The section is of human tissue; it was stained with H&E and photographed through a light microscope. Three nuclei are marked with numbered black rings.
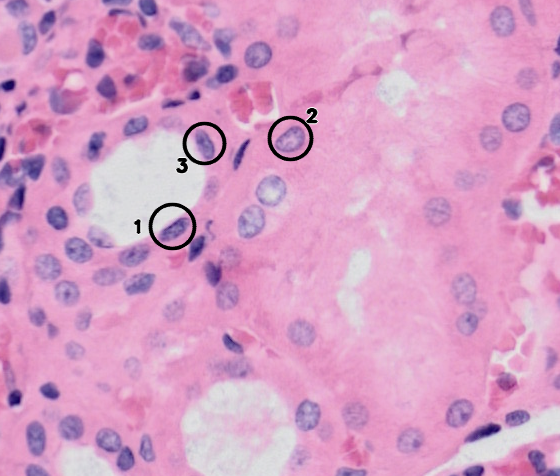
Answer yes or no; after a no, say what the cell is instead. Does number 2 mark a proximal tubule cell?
Yes.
